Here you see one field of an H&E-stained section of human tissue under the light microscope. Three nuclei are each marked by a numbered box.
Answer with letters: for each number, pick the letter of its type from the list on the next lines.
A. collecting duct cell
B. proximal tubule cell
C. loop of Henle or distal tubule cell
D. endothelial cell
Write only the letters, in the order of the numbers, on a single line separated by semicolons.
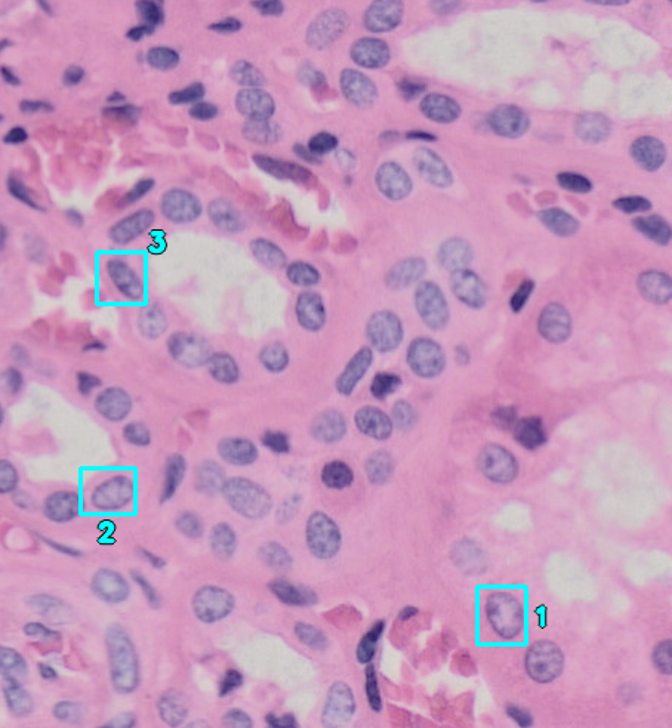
B; A; A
